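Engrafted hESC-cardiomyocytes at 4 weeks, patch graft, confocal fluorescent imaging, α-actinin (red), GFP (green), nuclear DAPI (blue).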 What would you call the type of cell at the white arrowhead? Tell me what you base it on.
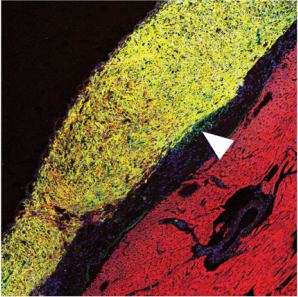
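Non-cardiac cells. The arrowhead points to green cells at the edge of the dark band. These cells lack the red signal of the neighbouring tissue.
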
